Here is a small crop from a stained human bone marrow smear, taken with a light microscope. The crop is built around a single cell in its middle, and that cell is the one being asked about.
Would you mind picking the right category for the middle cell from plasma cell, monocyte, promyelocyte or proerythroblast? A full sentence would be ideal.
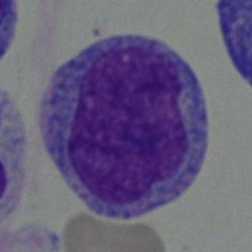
The middle cell in this particular crop is a monocyte.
